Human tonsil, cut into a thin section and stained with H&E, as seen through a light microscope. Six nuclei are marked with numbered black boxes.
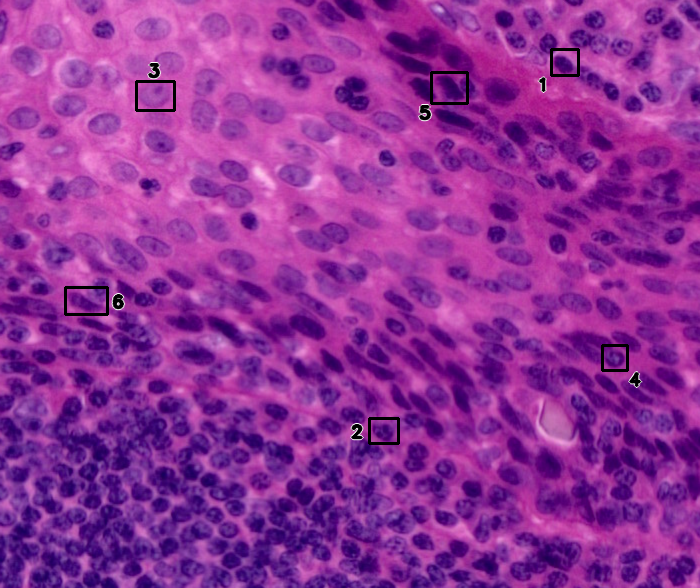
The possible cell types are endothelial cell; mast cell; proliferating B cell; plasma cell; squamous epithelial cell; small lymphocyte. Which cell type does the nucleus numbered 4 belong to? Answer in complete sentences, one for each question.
Identified as a plasma cell is the cell bearing the number 4.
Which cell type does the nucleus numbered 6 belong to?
It is as a squamous epithelial cell that the cell numbered 6 is identified.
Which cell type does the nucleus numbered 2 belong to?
The correct answer for cell 2 is a plasma cell.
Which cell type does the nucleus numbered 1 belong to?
Identified as a plasma cell is the cell bearing the number 1.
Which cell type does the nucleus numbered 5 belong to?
The cell numbered 5 represents a squamous epithelial cell.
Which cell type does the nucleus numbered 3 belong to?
Number 3 is placed on a squamous epithelial cell here.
